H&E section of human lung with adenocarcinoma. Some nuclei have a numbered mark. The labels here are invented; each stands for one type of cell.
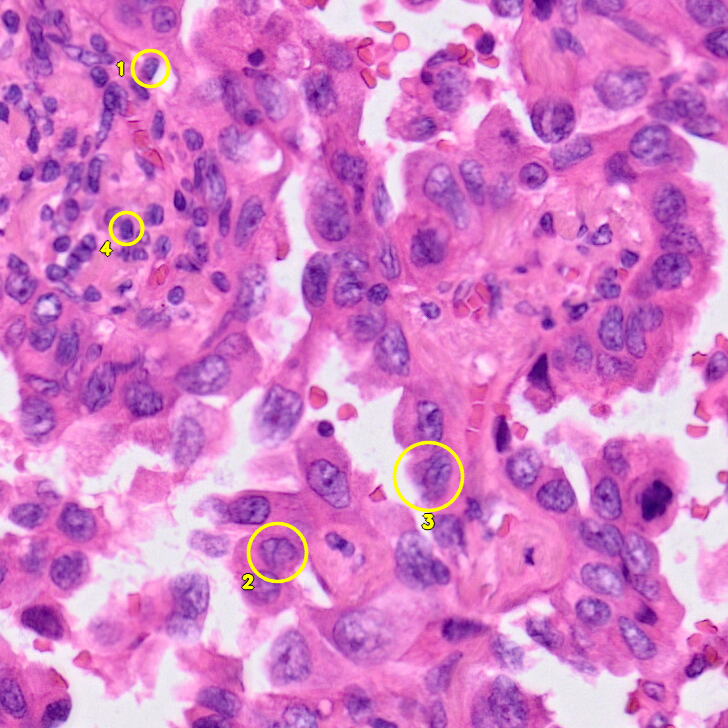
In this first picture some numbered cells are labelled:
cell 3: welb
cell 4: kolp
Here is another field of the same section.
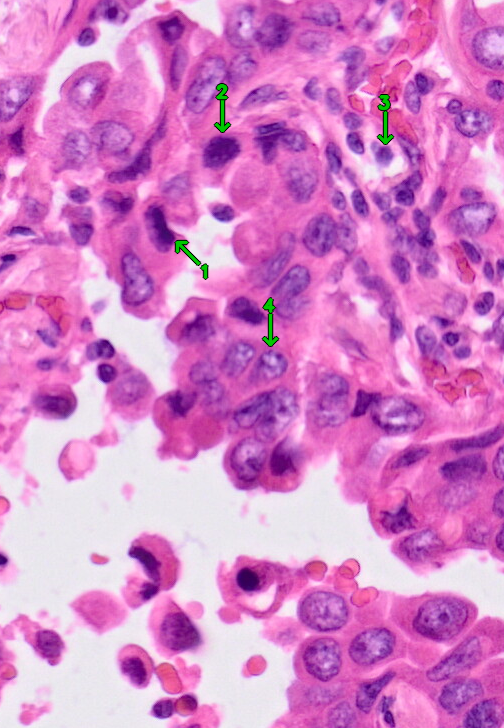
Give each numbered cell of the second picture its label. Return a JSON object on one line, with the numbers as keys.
{"1": "welb", "2": "welb", "3": "kolp", "4": "welb"}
